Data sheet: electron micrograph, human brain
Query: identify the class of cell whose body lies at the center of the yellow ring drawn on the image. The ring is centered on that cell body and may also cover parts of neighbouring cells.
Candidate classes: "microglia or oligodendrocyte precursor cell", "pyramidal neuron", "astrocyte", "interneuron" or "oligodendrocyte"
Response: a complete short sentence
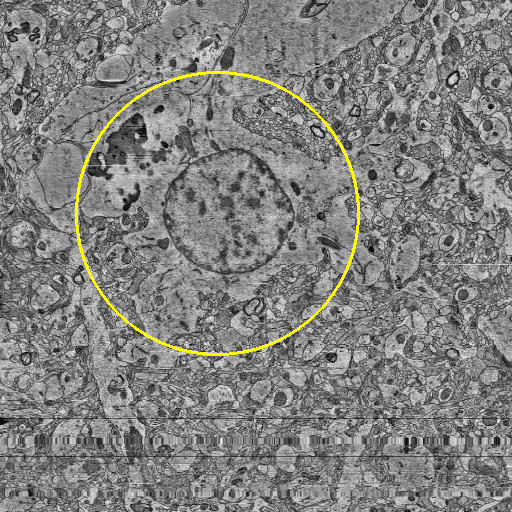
At the center of the ring lies an astrocyte.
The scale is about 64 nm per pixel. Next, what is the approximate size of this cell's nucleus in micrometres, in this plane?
Approximately 8 micrometres across in this plane.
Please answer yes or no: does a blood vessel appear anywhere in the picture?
Yes, one appears.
